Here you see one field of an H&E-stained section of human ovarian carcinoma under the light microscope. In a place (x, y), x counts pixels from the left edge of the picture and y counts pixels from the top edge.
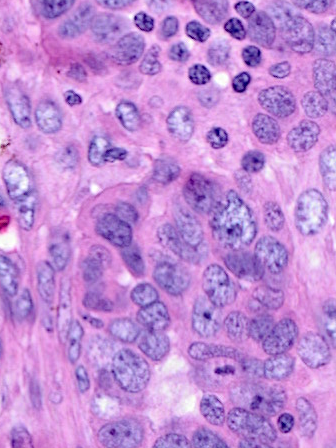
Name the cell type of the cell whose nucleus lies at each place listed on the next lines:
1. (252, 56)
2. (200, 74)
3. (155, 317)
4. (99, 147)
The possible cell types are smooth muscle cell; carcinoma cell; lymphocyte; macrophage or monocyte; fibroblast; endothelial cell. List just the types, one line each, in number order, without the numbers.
lymphocyte
lymphocyte
carcinoma cell
fibroblast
